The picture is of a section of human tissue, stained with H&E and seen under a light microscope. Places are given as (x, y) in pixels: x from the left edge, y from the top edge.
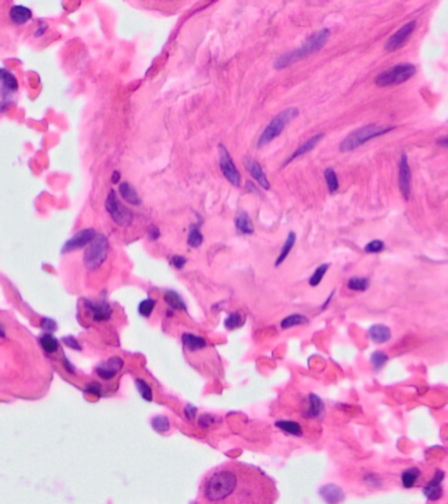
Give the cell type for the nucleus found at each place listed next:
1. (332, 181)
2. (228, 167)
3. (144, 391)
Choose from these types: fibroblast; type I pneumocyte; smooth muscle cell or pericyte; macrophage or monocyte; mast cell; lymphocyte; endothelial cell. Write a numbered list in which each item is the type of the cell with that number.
1. smooth muscle cell or pericyte
2. smooth muscle cell or pericyte
3. type I pneumocyte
